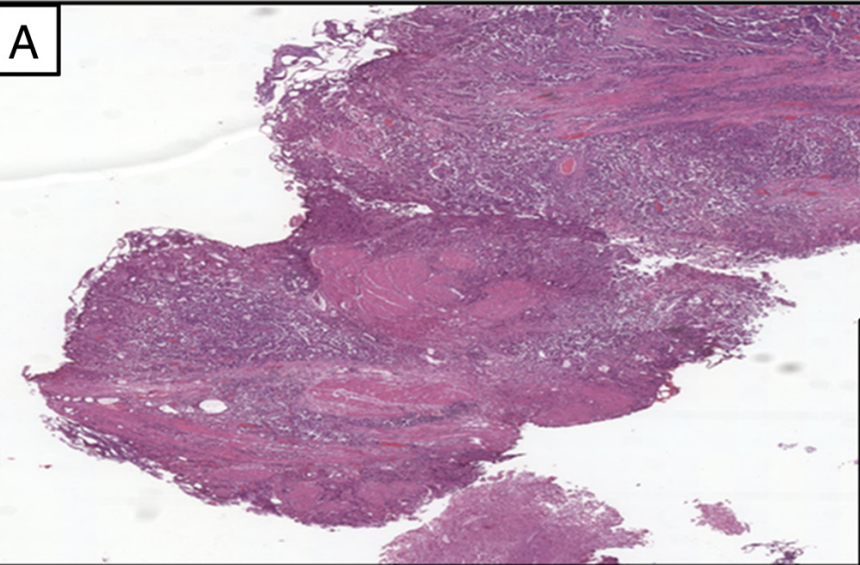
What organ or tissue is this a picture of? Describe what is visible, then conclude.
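Pink bundles of smooth muscle lie within the tissue fragments. Dense purple sheets and nests of tumour cells surround and run between the muscle bundles. So: muscularis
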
